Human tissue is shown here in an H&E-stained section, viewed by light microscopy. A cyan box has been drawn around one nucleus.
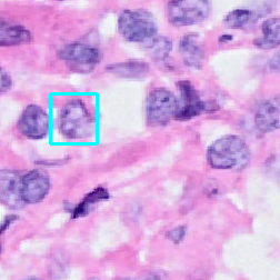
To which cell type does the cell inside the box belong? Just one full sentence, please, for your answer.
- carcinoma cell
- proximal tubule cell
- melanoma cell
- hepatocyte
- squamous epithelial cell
Histopathologically, the cell inside the box is a carcinoma cell.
